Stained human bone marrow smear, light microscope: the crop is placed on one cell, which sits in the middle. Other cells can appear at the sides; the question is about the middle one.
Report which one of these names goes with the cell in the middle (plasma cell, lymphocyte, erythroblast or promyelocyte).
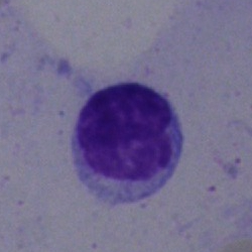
lymphocyte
